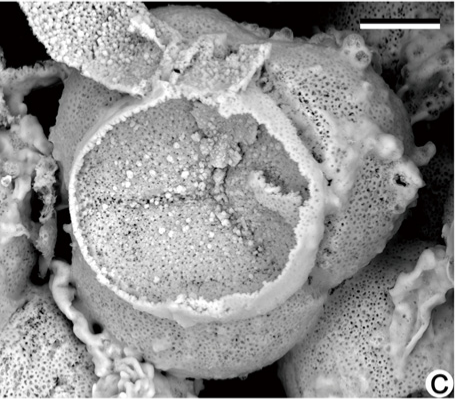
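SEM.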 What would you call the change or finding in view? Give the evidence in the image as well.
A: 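Broken. One rounded body in front has a broken-away outer layer with a raised rim around the opening. An inner surface with a faint Y-shaped line is exposed inside the rim.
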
